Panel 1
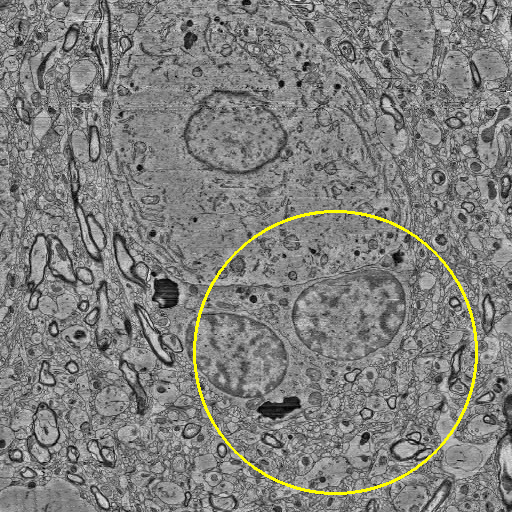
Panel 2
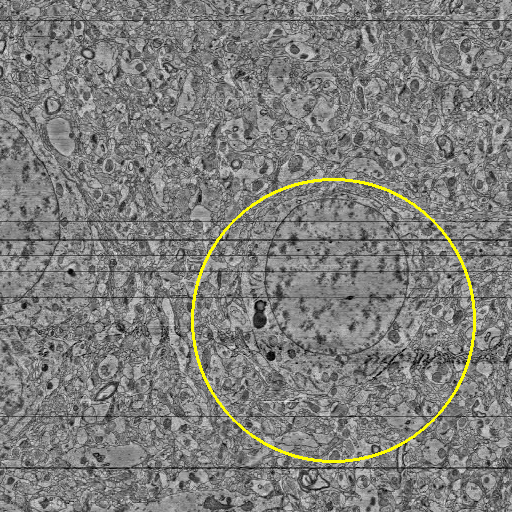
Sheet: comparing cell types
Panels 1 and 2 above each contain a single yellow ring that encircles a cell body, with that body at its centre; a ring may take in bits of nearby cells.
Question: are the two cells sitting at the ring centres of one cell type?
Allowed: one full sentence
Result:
No, the ring-centre cells in Panel 1 and Panel 2 are of two types.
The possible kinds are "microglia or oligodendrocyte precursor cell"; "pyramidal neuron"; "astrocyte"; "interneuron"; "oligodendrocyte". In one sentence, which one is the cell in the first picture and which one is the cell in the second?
The cell ringed in the second picture is a pyramidal neuron, whereas the one ringed in the first is an oligodendrocyte.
